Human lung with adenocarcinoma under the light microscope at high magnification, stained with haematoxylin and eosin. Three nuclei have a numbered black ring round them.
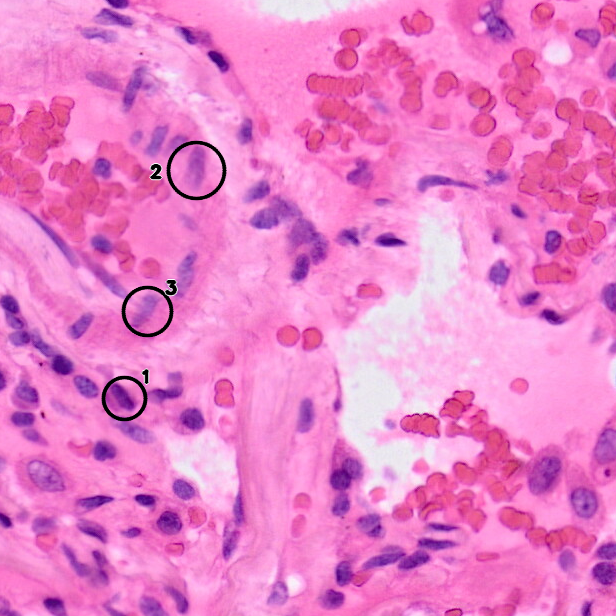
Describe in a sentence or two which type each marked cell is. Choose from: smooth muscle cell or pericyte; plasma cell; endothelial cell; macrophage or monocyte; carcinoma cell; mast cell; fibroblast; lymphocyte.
Cell 1 is a plasma cell, cell 2 is a smooth muscle cell or pericyte and cell 3 is a smooth muscle cell or pericyte.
